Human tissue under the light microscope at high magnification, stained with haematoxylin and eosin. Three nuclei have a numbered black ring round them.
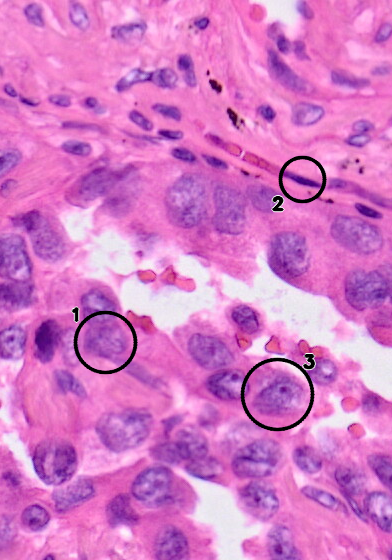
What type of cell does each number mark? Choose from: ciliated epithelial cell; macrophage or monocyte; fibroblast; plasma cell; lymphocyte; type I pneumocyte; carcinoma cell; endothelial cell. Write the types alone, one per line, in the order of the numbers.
carcinoma cell
endothelial cell
carcinoma cell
